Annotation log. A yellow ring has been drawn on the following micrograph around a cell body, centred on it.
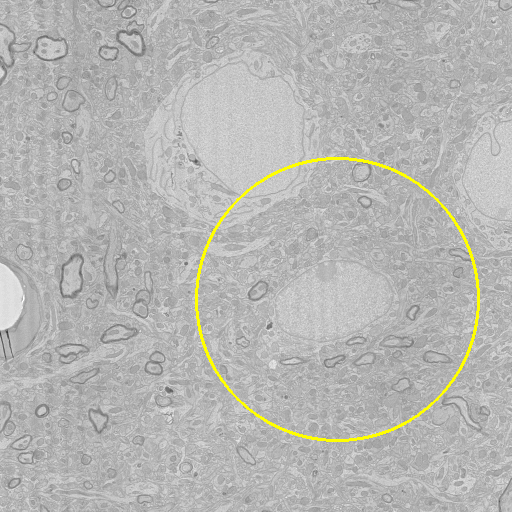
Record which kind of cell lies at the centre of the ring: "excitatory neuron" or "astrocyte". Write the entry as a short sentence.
The cell the ring is centred on is an astrocyte.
